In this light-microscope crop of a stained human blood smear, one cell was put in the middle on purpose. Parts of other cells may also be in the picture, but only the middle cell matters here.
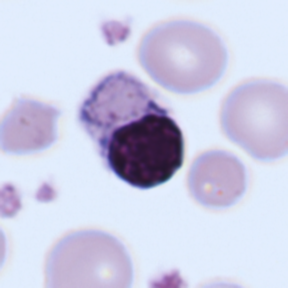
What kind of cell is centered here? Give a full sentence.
This crop has a normoblast at its centre.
